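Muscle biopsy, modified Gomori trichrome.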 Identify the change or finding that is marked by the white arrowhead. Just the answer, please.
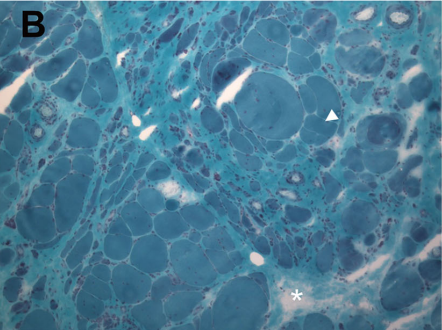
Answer: splitting fibers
